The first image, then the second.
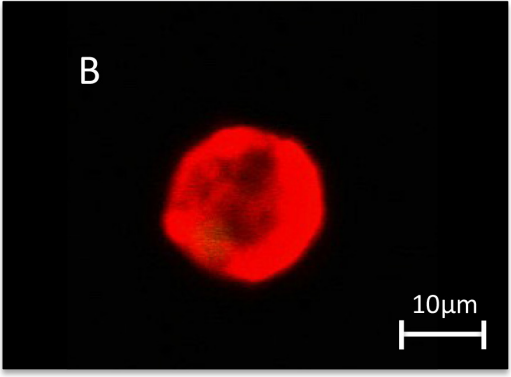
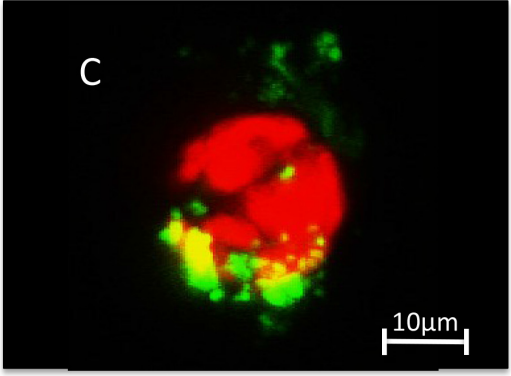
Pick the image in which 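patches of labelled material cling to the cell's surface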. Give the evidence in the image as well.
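Second image: bright green and yellow clumps lie on and beside the lower part of the red cell. First image: the red cell stands alone with no green material around it.
Hence: the second image.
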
